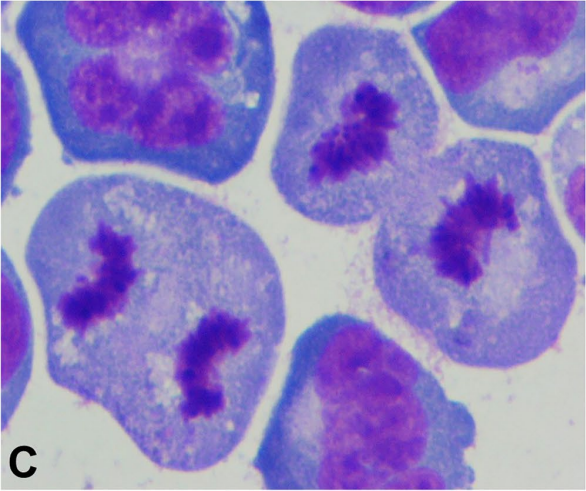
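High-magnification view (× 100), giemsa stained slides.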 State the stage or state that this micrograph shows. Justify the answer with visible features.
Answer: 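Mitotic cells. Three cells hold dark purple, compact clumps of condensed chromosomes. No nuclear outline surrounds the chromosome clumps. Neighbouring cells have intact, paler pink-purple nuclei.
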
